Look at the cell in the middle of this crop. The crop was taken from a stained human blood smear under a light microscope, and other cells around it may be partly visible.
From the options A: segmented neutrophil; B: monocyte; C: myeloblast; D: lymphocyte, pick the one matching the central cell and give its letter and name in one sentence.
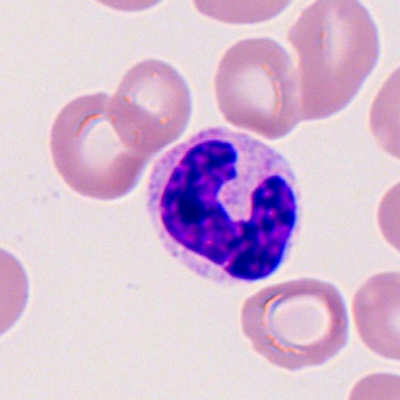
Option A stands as correct, the central cell being a segmented neutrophil.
